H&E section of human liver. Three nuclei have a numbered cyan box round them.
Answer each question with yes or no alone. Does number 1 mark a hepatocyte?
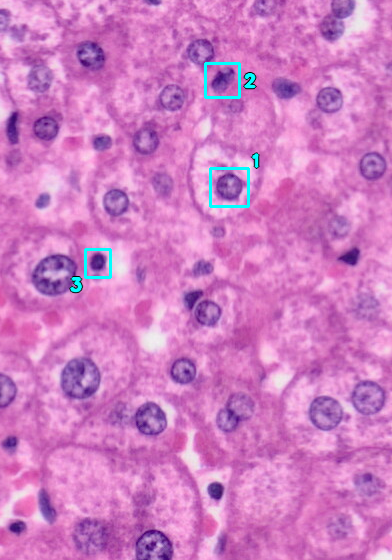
yes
